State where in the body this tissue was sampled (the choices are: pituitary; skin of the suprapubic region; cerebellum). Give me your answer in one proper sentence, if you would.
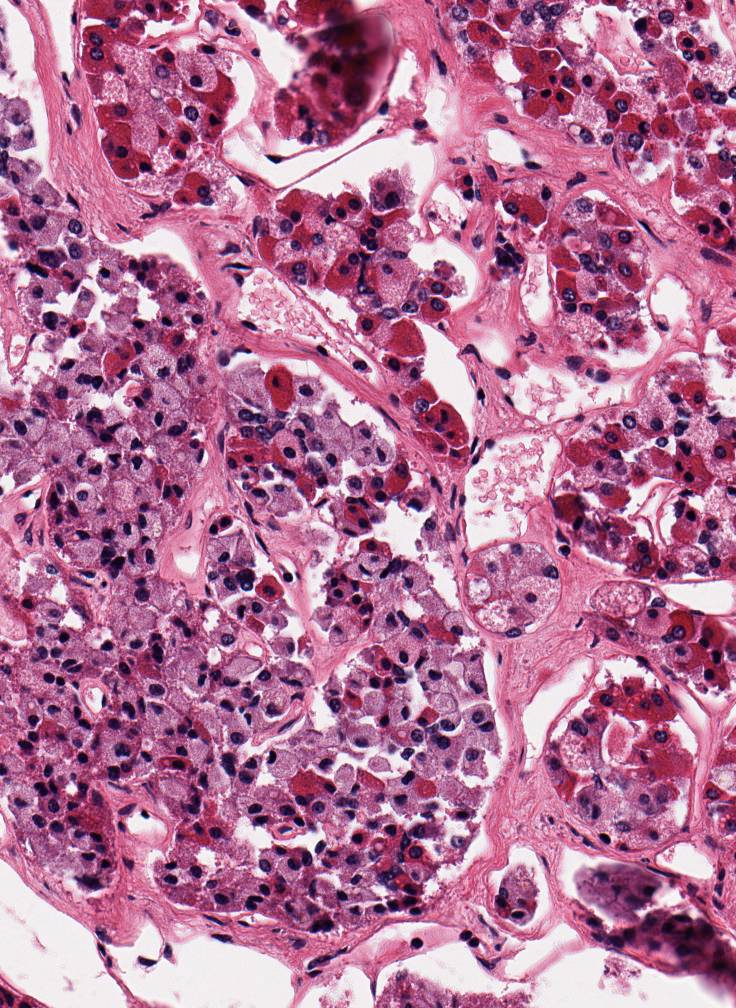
This histological section comes from the pituitary.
